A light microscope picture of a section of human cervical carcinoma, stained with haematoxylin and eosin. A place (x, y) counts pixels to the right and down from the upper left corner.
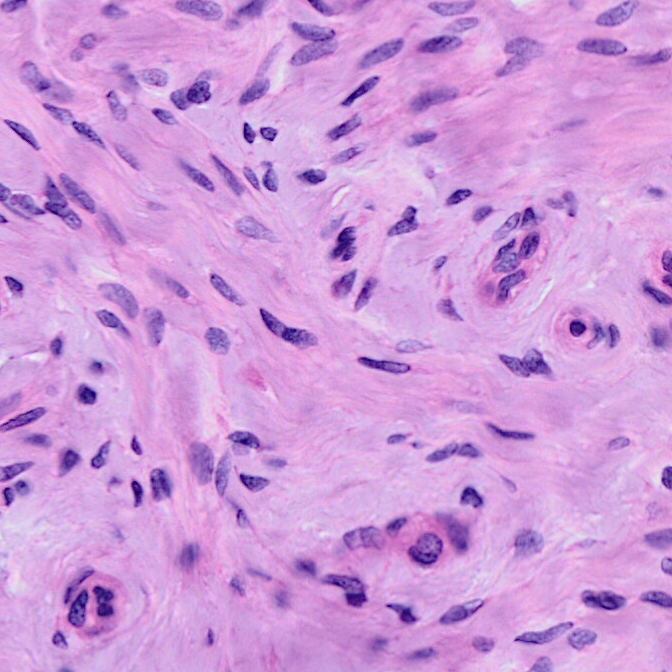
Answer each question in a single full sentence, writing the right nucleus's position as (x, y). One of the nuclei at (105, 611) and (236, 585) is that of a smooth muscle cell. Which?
The one at (236, 585) is the nucleus belonging to a smooth muscle cell, not the other one.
